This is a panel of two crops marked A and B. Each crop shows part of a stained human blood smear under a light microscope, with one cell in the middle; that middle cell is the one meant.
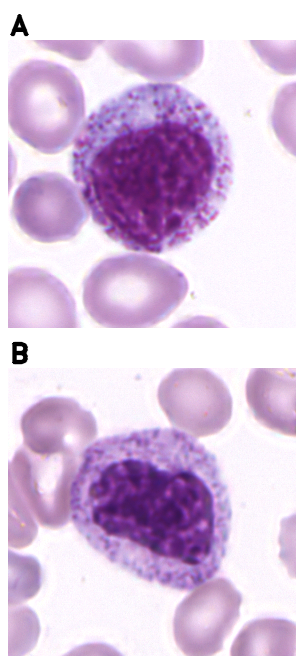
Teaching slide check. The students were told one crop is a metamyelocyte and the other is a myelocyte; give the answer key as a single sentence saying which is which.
Recognised in crop A is a myelocyte, and recognised in crop B is a metamyelocyte.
